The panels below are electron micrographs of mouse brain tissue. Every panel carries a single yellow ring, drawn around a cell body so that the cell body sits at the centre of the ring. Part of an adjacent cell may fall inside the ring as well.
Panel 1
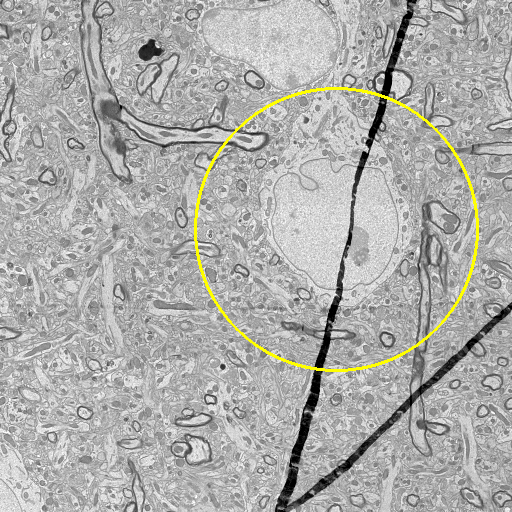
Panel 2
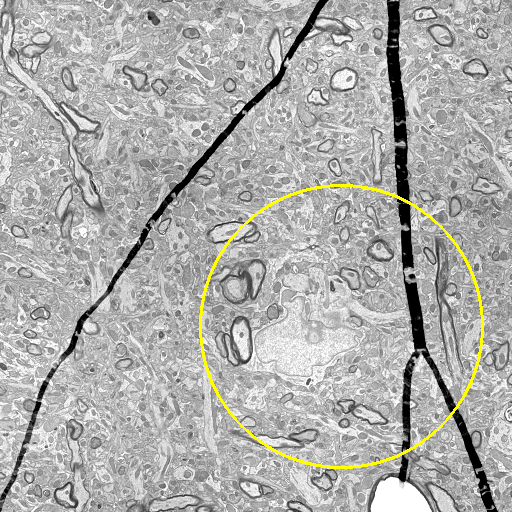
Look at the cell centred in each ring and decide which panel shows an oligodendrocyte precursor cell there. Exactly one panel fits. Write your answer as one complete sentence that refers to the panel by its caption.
Panel 2 has it at the centre of its ring.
